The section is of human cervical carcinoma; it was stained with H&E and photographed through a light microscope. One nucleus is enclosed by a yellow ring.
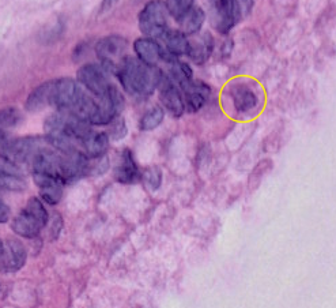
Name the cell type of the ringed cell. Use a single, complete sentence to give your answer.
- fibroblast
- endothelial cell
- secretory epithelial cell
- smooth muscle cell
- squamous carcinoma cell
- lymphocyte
In this tissue sample, the ringed cell is a secretory epithelial cell.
